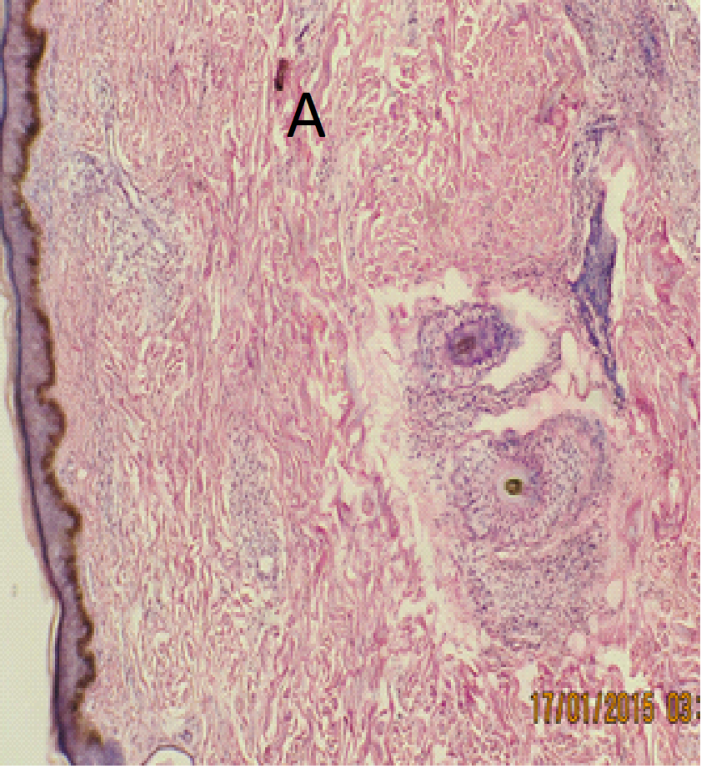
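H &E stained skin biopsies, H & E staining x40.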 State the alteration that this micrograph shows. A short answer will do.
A: flat epidermis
